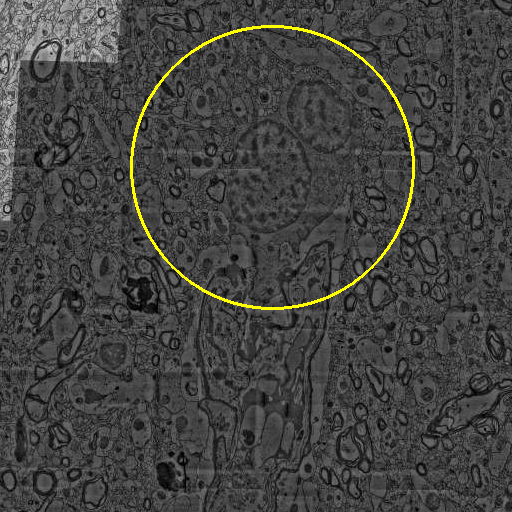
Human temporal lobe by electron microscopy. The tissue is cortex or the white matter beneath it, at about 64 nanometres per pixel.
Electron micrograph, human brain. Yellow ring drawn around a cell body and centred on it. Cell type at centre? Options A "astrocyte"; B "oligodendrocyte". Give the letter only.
B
